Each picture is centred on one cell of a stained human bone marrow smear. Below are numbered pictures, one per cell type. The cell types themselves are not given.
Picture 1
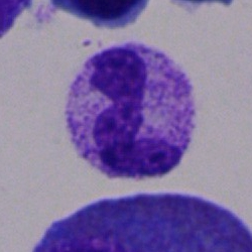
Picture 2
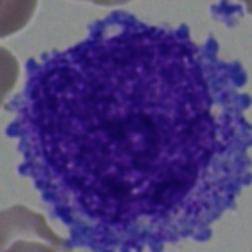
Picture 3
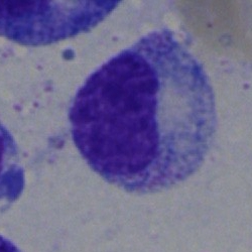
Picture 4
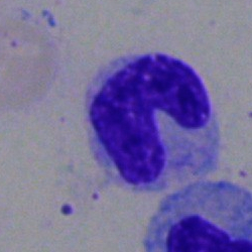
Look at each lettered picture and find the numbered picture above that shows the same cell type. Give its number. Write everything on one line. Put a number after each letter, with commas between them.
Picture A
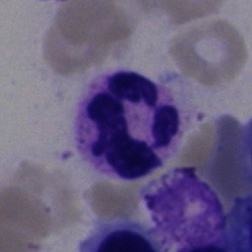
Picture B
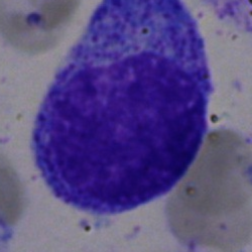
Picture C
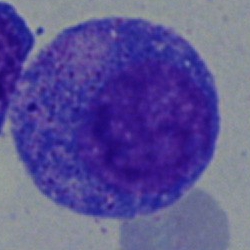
A 1, B 2, C 2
